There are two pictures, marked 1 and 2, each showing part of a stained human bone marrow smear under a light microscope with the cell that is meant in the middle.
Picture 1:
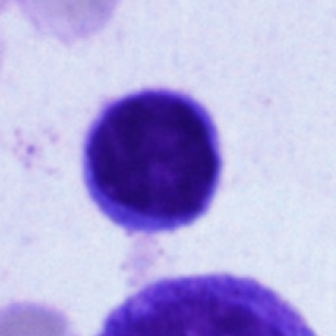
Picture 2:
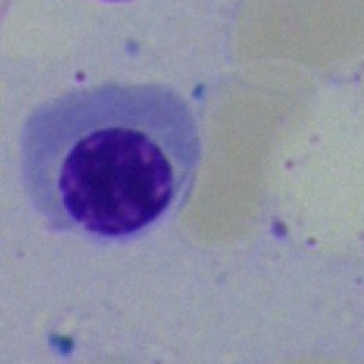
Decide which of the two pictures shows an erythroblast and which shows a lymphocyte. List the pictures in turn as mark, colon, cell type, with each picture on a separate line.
1: lymphocyte
2: erythroblast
